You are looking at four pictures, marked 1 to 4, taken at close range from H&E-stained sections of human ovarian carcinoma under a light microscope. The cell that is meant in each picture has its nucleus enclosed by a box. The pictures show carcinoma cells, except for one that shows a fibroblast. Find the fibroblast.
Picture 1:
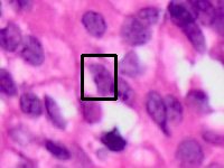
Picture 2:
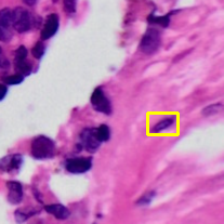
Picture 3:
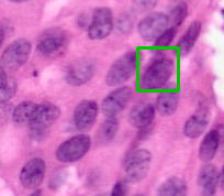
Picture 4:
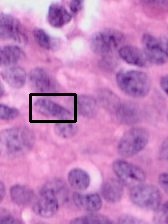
2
